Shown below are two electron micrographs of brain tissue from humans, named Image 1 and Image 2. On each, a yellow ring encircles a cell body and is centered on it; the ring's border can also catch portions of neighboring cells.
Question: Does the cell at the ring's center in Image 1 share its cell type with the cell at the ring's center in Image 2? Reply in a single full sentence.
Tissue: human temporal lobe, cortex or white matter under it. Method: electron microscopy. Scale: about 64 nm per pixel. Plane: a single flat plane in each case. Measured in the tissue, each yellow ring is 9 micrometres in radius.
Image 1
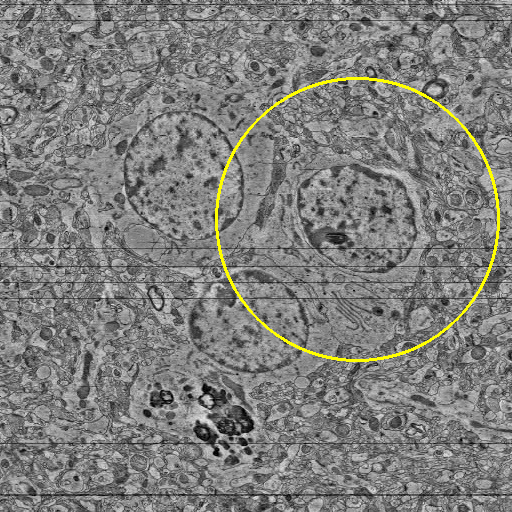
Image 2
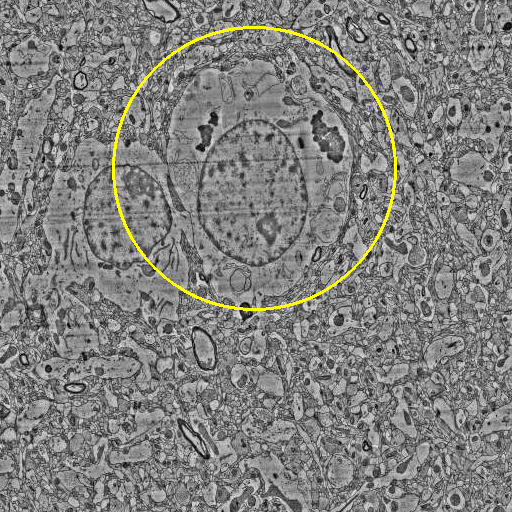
No, the two cells at the ring centers, in Image 1 and Image 2, are of two cell types.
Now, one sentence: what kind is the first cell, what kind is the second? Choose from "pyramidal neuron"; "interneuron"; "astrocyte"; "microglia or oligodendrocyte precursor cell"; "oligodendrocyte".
The first picture has a microglial cell or oligodendrocyte precursor cell at its ring centre, and the second has an astrocyte.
